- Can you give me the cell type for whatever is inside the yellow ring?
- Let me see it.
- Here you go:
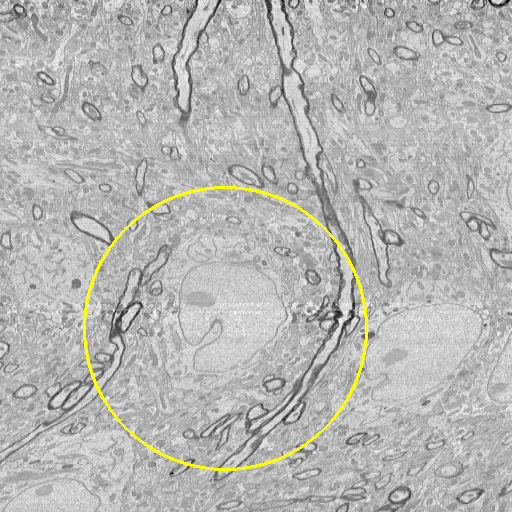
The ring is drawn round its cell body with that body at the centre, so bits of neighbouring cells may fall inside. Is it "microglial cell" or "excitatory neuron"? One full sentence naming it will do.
The cell body in the middle of the ring in this picture belongs to an excitatory neuron.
